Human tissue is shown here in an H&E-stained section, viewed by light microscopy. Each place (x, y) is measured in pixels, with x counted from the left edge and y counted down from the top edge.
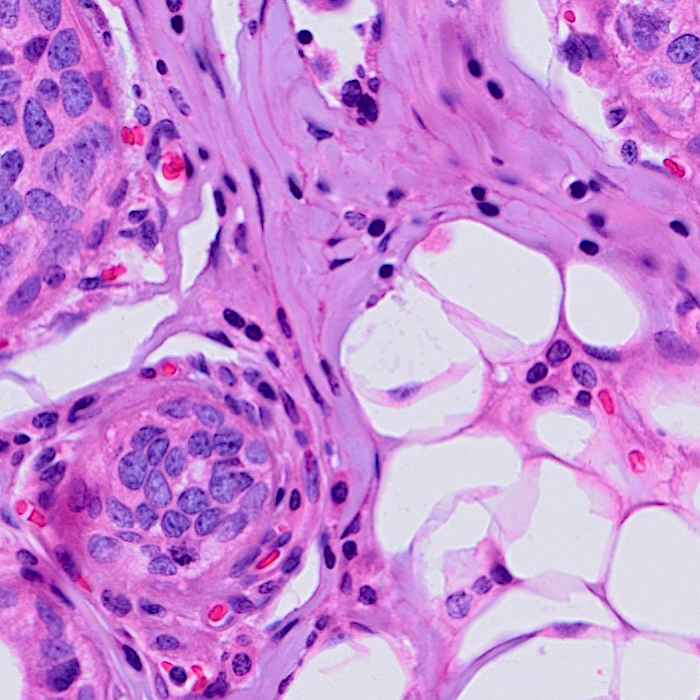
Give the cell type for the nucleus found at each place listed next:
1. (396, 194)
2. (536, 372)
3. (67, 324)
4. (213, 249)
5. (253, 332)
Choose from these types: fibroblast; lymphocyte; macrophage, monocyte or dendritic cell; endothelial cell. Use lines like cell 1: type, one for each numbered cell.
cell 1: lymphocyte
cell 2: lymphocyte
cell 3: fibroblast
cell 4: fibroblast
cell 5: lymphocyte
